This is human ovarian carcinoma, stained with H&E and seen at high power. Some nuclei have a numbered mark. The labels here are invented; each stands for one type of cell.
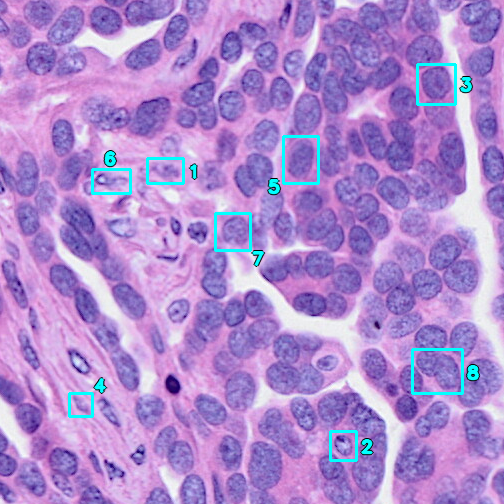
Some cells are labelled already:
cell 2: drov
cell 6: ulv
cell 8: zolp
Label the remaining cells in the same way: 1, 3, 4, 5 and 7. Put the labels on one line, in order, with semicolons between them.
ulv; zolp; ulv; zolp; zolp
